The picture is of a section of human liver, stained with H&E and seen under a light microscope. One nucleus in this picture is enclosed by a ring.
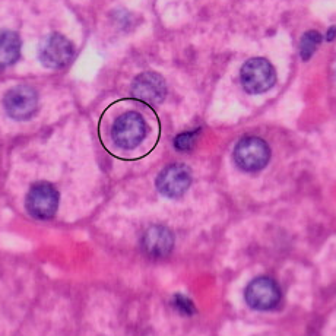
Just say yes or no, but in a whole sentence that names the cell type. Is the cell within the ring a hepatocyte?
Yes, the cell within the ring is, by its type, a hepatocyte.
